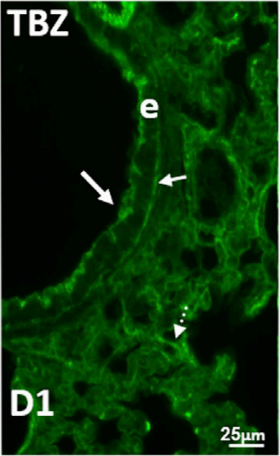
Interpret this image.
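Lung tissue with the wall of a bronchiole, lined by epithelium that faces a large dark lumen on the left. A thin bright green line runs along the apical border of the epithelial cells, and a second fine green line runs beneath them at the base of the epithelial layer. The epithelial cells themselves are only weakly labeled.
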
